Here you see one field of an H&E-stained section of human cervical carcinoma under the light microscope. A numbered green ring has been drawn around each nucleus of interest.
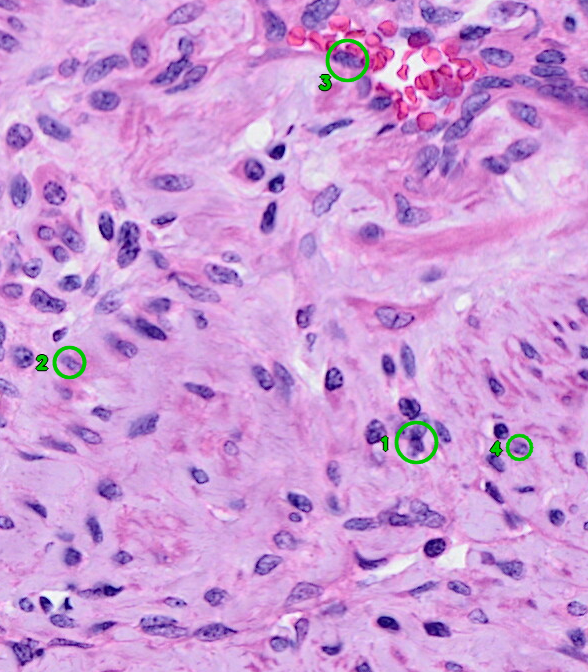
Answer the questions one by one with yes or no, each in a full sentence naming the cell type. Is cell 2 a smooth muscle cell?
Yes, number 2 corresponds to a smooth muscle cell.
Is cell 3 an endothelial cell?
Yes, for number 3, the cell is an endothelial cell.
